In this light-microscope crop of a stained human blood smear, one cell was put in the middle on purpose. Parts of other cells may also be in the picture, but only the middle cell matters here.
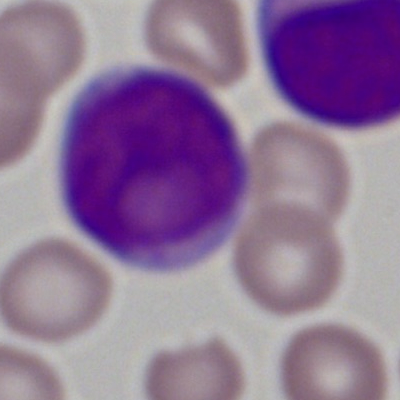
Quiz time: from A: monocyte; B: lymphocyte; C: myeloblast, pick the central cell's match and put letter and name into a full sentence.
Option C is to be chosen, as the central cell is a myeloblast.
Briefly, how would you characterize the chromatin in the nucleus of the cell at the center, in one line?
The chromatin is fine, with no coarse clumping anywhere.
